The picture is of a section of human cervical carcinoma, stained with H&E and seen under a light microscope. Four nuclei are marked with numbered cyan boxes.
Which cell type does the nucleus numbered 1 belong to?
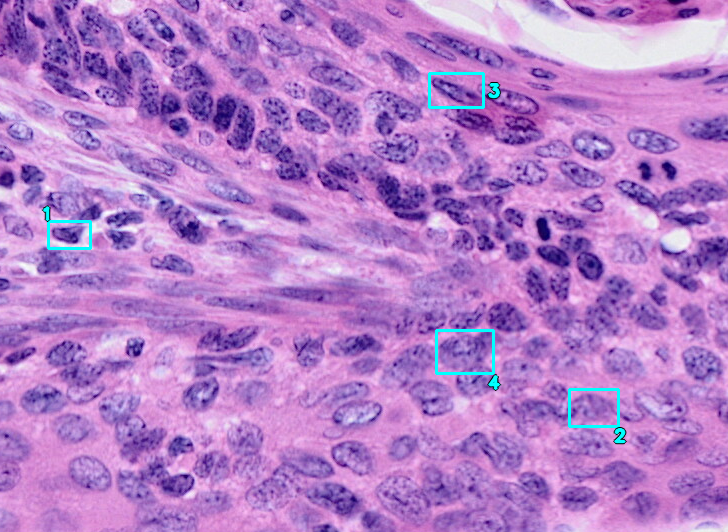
lymphocyte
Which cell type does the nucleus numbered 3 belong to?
squamous carcinoma cell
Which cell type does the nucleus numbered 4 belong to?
squamous carcinoma cell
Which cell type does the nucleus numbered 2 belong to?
squamous carcinoma cell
